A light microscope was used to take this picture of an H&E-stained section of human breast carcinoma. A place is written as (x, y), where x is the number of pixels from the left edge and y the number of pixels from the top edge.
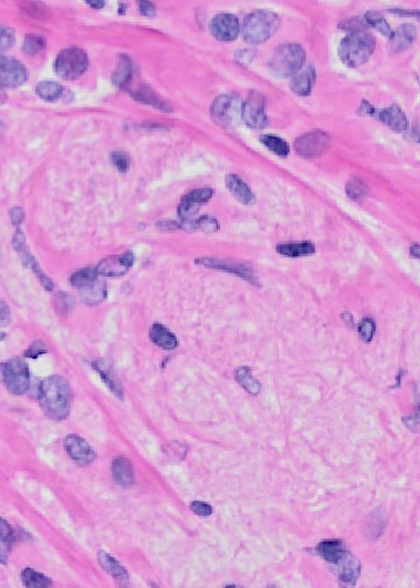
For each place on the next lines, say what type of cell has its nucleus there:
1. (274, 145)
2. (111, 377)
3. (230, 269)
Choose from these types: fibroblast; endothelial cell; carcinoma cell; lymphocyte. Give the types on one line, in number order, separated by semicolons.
lymphocyte; fibroblast; fibroblast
